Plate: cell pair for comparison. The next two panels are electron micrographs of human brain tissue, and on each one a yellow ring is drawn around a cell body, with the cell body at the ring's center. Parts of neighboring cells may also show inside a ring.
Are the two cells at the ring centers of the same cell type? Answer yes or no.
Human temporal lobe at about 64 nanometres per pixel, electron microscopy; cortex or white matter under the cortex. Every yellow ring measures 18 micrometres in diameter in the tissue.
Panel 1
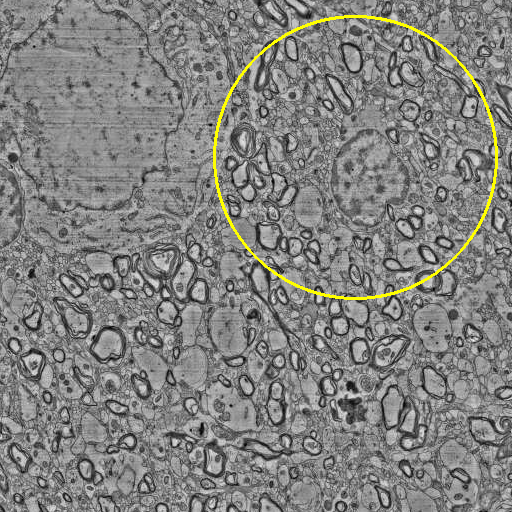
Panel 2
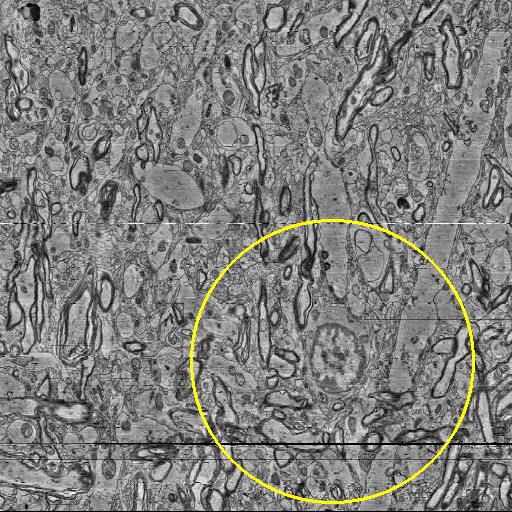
yes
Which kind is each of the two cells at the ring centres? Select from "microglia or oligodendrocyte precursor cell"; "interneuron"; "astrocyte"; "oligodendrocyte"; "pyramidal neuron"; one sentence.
The cell at the ring centre is an oligodendrocyte in both pictures.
